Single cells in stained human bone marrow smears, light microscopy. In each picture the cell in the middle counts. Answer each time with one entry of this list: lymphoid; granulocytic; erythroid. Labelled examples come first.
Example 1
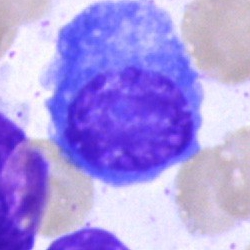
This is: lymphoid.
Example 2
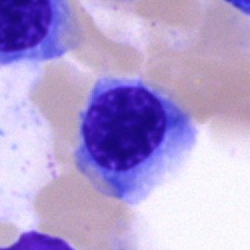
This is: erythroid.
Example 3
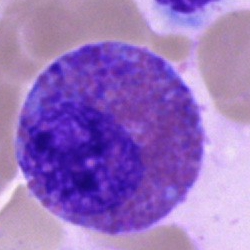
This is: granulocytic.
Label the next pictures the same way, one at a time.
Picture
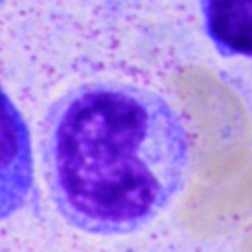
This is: granulocytic.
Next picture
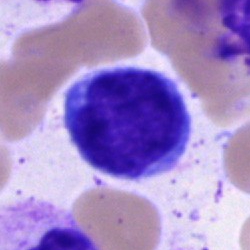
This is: lymphoid.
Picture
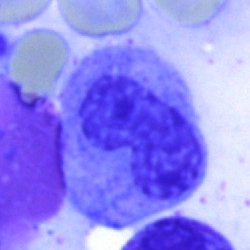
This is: granulocytic.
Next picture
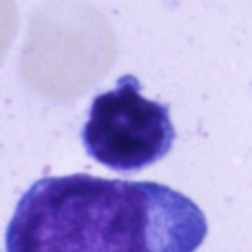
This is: lymphoid.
